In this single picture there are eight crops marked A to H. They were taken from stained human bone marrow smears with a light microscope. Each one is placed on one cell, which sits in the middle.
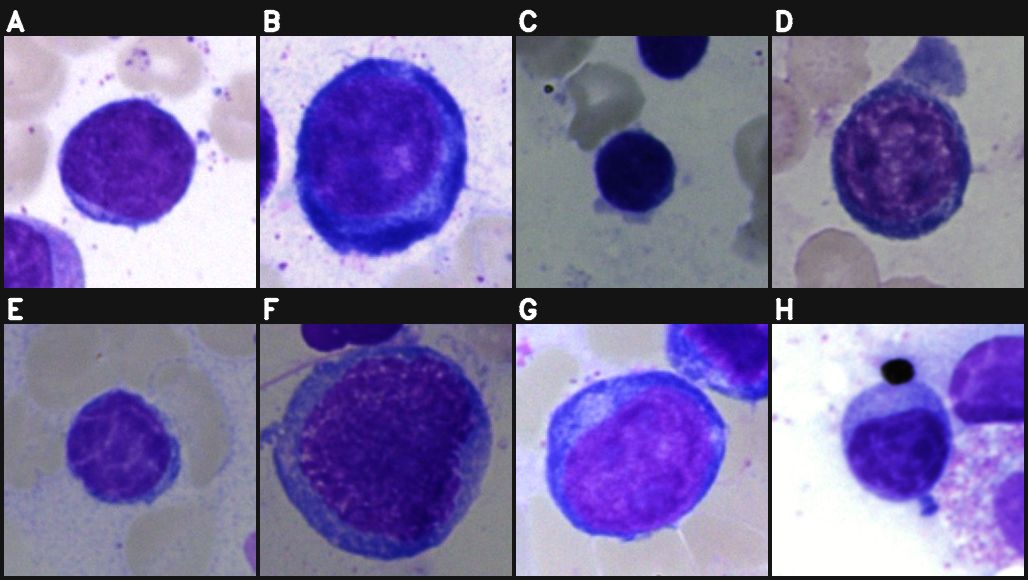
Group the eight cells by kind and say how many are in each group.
lymphocyte: 4
proerythroblast: 4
